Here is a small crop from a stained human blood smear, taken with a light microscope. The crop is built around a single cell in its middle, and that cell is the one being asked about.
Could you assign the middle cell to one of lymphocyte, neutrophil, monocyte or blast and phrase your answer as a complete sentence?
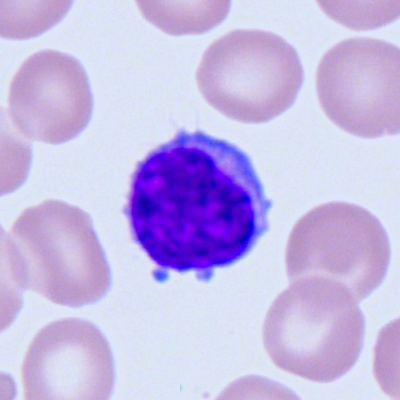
Present in the middle of the crop is a lymphocyte.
